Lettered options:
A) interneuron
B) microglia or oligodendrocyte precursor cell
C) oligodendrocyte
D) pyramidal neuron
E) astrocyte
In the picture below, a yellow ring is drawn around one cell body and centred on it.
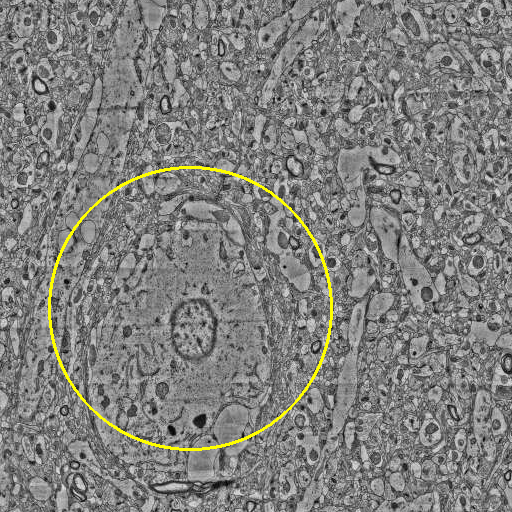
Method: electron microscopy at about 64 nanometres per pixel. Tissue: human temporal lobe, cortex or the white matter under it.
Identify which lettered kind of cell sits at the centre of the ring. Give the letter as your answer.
D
